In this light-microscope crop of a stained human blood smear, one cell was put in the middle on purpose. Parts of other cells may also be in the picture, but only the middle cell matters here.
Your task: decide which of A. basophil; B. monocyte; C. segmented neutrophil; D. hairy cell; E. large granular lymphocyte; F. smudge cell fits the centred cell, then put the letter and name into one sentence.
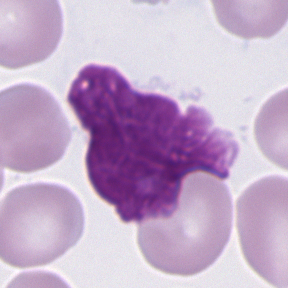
Option F is correct in naming the middle cell a smudge cell.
